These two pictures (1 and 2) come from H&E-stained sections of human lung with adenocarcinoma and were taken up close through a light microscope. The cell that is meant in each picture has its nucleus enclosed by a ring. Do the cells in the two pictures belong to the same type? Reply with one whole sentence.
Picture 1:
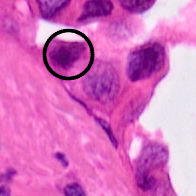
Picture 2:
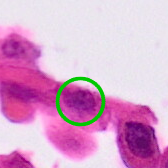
Yes, both cells are carcinoma cells.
